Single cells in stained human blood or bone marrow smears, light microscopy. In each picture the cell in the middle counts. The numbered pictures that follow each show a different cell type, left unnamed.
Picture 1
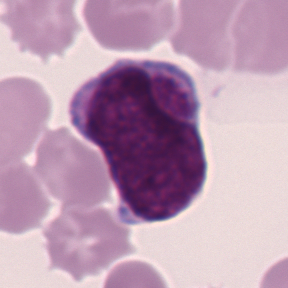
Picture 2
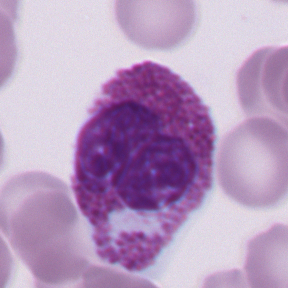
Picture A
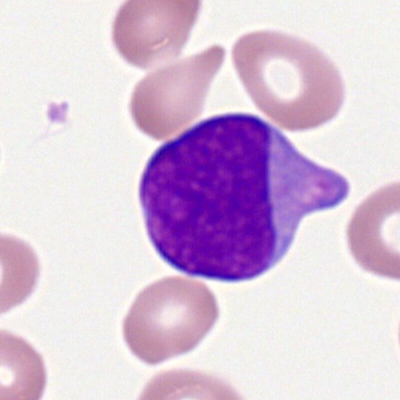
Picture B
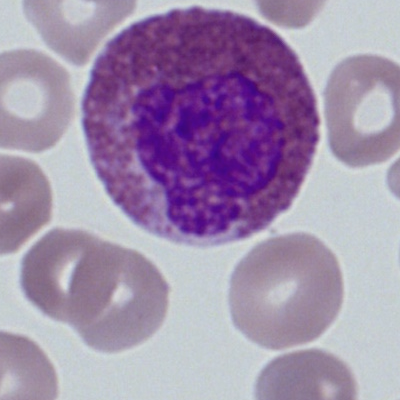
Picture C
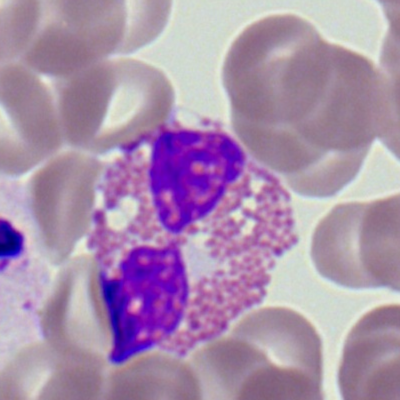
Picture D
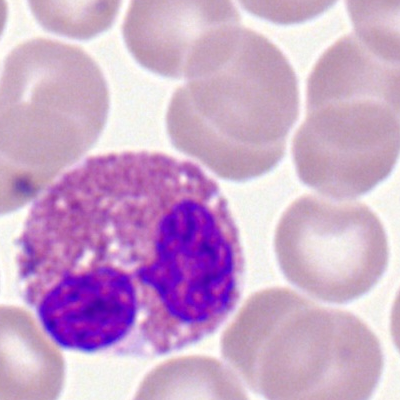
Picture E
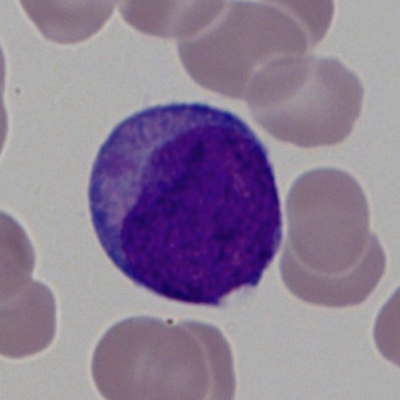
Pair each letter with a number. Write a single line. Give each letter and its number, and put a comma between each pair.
A 1, B 2, C 2, D 2, E 1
